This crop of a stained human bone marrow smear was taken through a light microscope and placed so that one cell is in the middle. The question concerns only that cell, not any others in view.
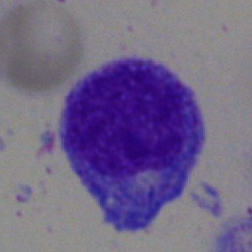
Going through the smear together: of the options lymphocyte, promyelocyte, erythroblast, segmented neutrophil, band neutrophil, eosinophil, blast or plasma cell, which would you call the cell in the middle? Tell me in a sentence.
The cell at the middle of the crop is recognized as a promyelocyte.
